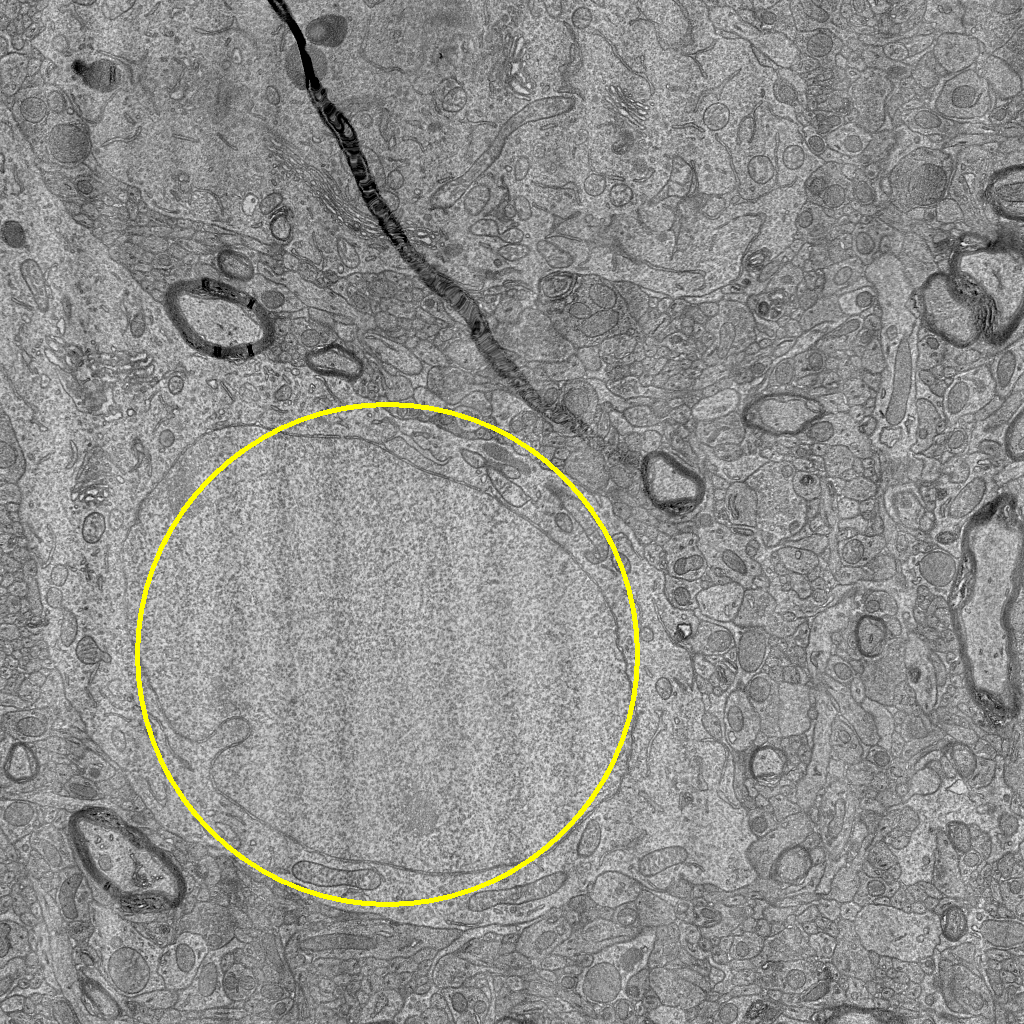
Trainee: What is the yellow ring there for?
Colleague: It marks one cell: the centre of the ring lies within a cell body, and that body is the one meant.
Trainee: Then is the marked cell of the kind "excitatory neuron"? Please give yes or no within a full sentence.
Yes, the marked cell at the centre of the yellow ring is of the kind asked about.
